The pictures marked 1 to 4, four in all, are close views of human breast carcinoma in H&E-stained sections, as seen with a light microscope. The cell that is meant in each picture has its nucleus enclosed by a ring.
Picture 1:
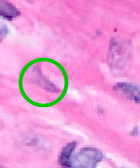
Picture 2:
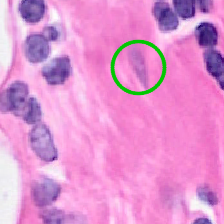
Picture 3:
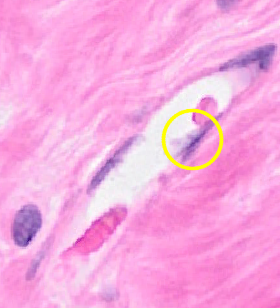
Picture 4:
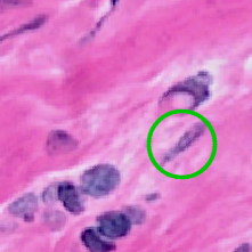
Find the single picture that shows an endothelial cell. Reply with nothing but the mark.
3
